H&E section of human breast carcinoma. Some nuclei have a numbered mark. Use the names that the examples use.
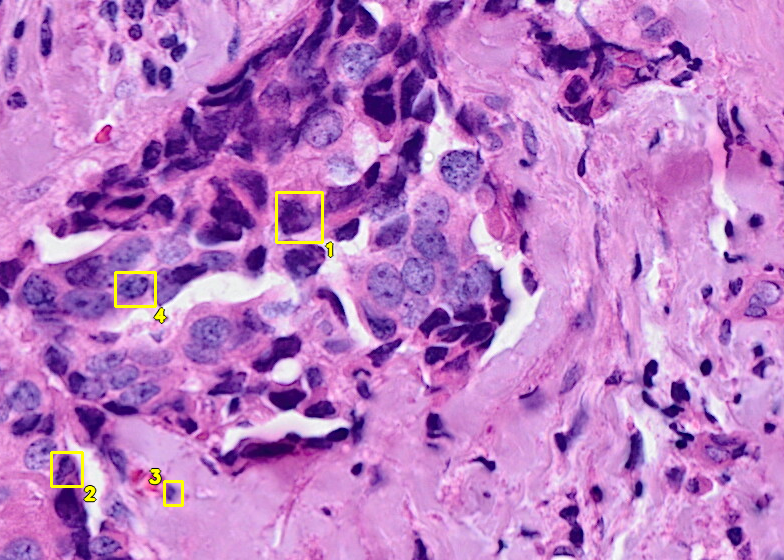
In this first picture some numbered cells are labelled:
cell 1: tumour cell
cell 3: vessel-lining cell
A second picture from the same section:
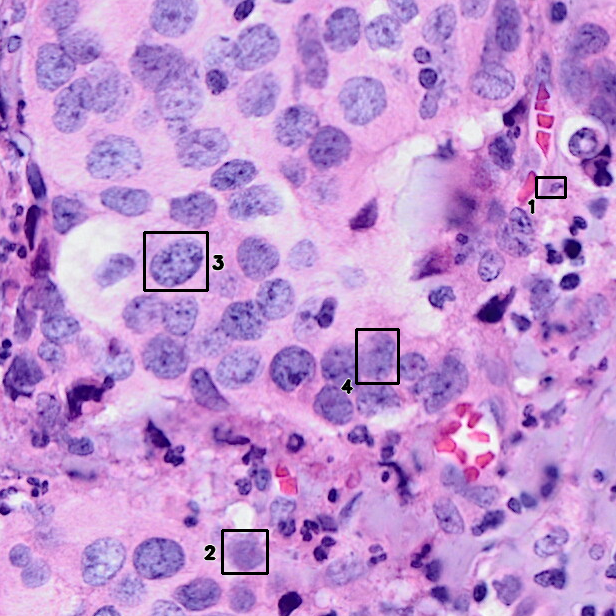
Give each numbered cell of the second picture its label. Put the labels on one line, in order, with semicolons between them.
vessel-lining cell; tumour cell; tumour cell; tumour cell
